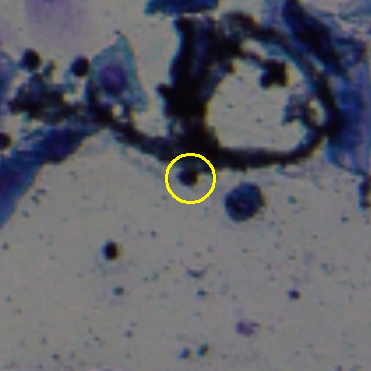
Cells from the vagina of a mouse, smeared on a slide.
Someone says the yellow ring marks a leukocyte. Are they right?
They are right: it is a leukocyte.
